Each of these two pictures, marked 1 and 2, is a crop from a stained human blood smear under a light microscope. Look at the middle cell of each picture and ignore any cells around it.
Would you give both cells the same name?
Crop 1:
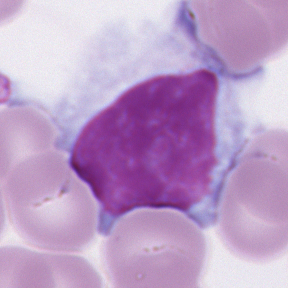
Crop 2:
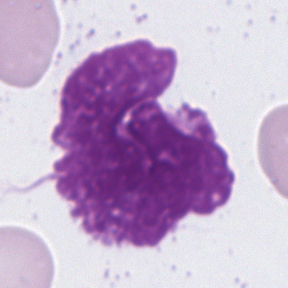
no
